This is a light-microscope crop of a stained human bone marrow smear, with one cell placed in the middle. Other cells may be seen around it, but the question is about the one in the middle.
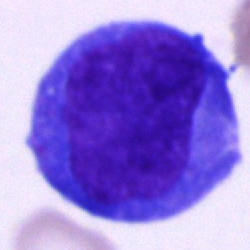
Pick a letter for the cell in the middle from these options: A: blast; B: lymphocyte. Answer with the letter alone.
A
